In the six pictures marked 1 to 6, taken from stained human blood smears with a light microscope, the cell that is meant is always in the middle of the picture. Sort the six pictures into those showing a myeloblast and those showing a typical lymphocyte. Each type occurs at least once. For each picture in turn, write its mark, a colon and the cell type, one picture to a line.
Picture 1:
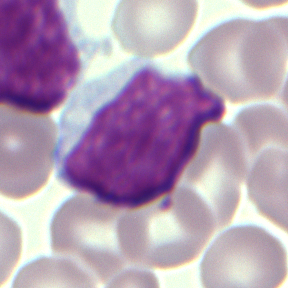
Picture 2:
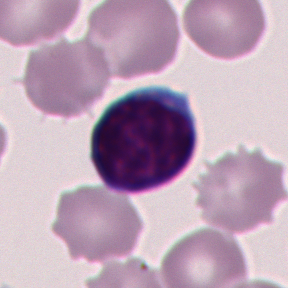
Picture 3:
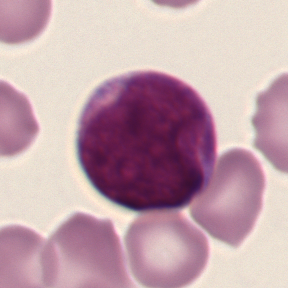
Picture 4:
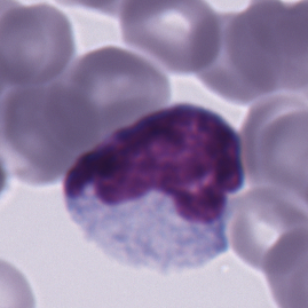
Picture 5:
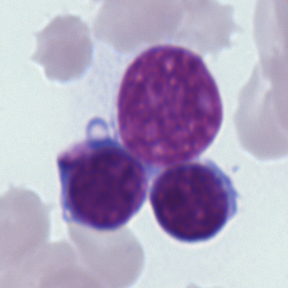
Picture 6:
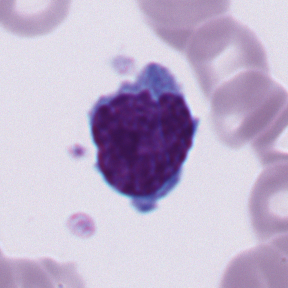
1: typical lymphocyte
2: typical lymphocyte
3: myeloblast
4: typical lymphocyte
5: myeloblast
6: typical lymphocyte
